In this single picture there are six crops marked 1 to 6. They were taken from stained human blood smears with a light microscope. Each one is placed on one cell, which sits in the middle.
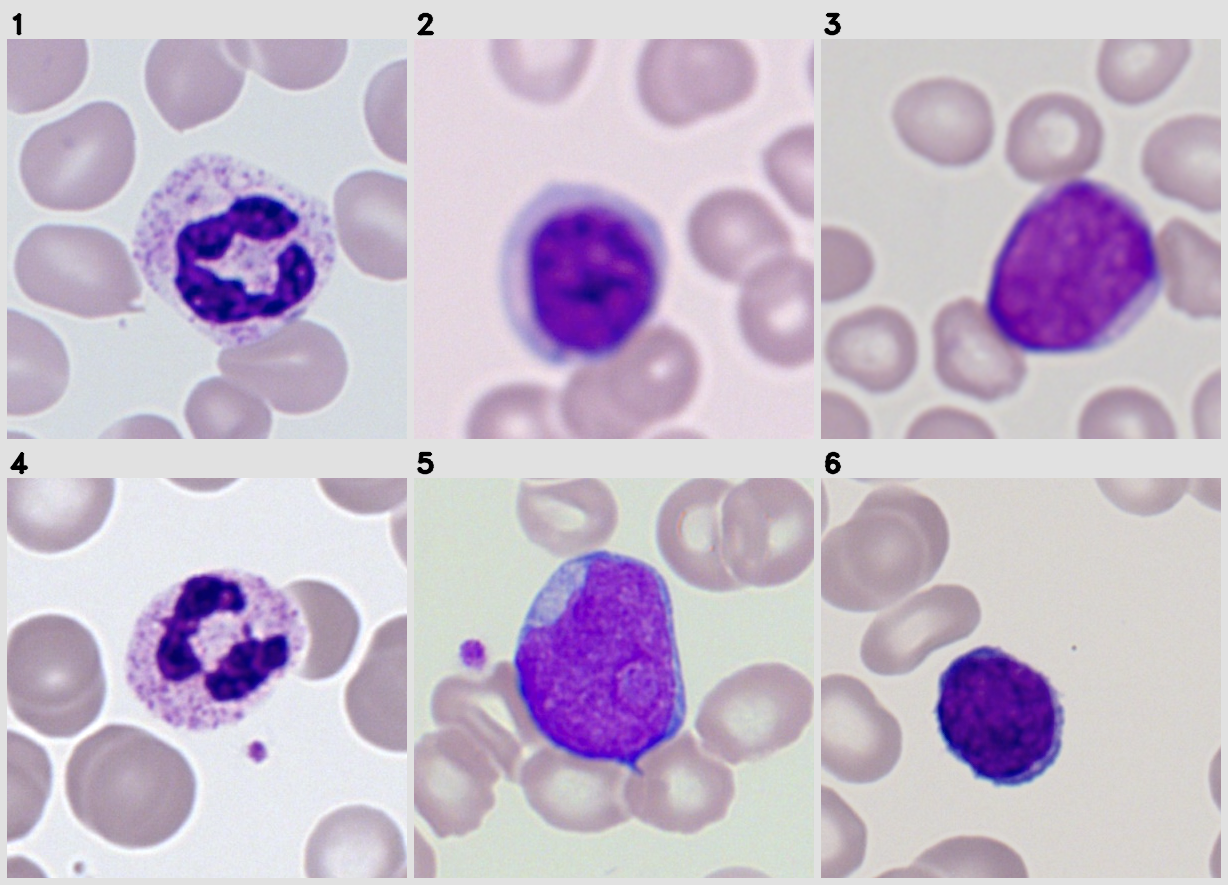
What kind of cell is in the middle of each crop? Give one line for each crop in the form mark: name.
1: neutrophil
2: lymphocyte
3: blast
4: neutrophil
5: blast
6: lymphocyte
